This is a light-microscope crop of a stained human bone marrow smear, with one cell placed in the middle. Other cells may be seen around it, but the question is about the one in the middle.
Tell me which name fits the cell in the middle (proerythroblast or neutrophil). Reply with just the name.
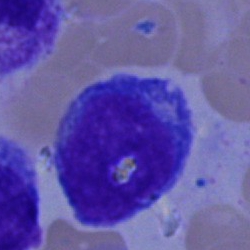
proerythroblast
